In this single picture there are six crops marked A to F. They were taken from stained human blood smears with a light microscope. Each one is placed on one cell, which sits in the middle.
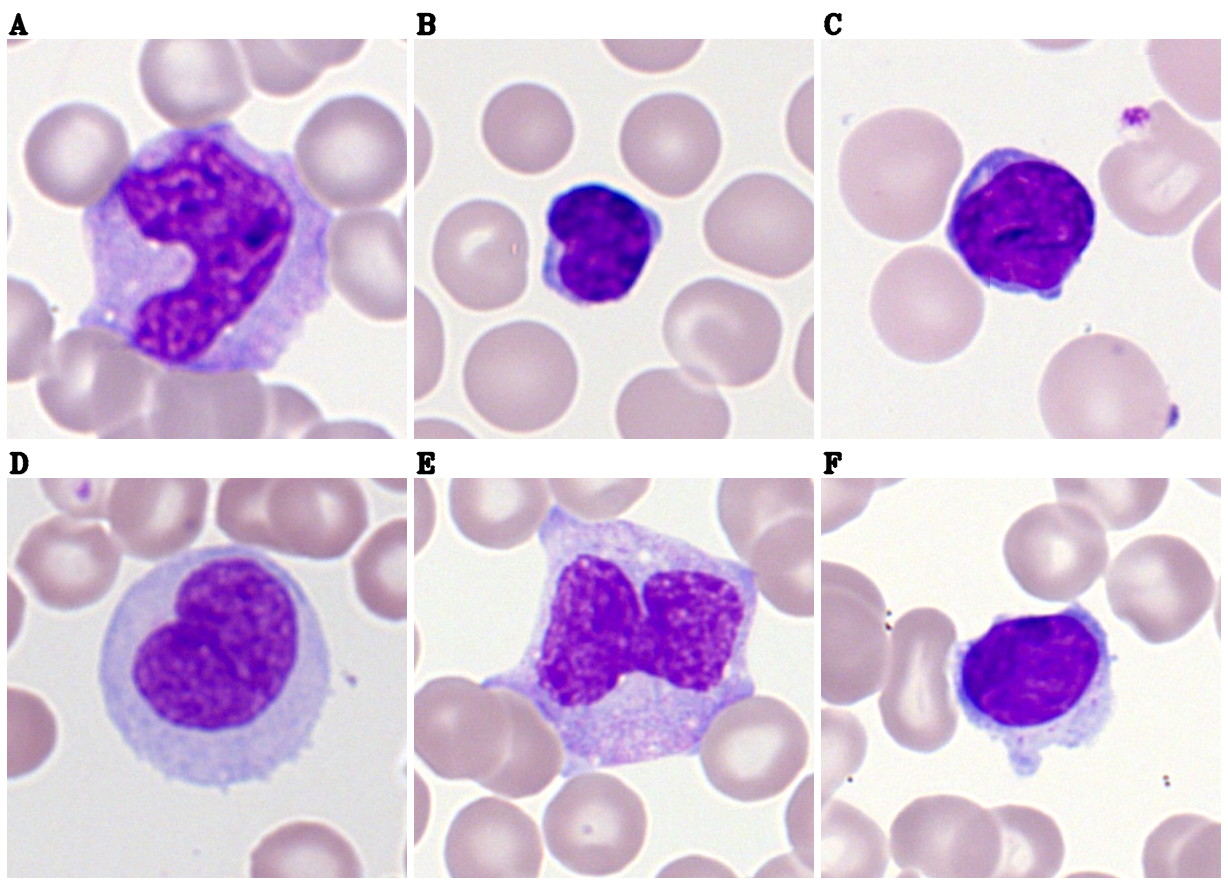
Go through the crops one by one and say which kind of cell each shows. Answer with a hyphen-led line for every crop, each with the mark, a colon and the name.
- A: monocyte
- B: lymphocyte
- C: lymphocyte
- D: monocyte
- E: monocyte
- F: lymphocyte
